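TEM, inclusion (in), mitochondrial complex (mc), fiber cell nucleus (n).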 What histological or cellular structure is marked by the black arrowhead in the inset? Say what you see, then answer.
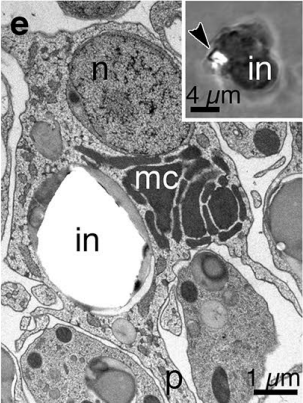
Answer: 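A small bright, sharply bounded refractile body lies at the edge of a dark rounded inclusion in the inset. It stands out as much brighter than the surrounding cell.
Conclusion: a crystal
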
